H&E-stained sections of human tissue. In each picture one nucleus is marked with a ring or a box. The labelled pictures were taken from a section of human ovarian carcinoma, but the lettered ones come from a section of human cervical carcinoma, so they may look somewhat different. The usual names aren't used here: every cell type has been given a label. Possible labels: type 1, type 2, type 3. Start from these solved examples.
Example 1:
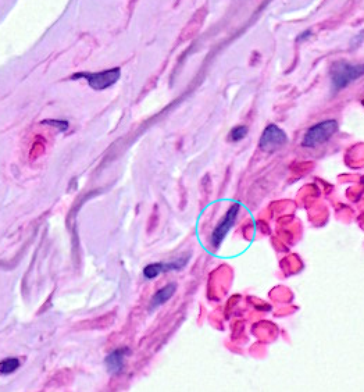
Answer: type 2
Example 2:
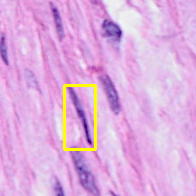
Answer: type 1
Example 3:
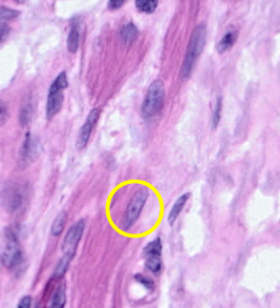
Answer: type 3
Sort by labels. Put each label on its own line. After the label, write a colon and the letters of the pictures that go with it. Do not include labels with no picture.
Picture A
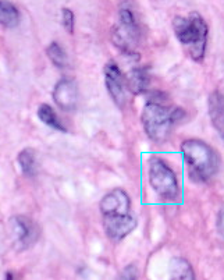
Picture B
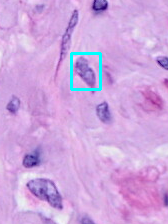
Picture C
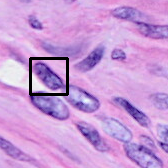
type 1: B
type 2: A, C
